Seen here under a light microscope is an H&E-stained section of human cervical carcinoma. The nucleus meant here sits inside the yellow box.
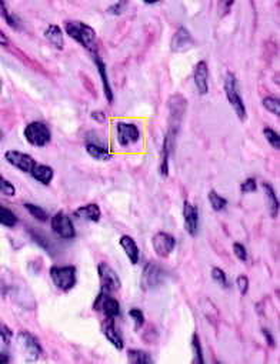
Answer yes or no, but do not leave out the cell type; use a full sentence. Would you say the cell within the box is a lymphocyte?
Yes, the naming of the cell within the box as a lymphocyte is correct.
